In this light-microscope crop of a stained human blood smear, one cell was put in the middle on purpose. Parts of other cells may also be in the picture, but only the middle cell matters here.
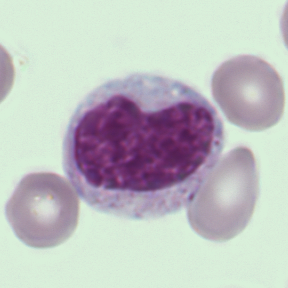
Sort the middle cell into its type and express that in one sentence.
The cell occupying the middle of the crop is a metamyelocyte.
